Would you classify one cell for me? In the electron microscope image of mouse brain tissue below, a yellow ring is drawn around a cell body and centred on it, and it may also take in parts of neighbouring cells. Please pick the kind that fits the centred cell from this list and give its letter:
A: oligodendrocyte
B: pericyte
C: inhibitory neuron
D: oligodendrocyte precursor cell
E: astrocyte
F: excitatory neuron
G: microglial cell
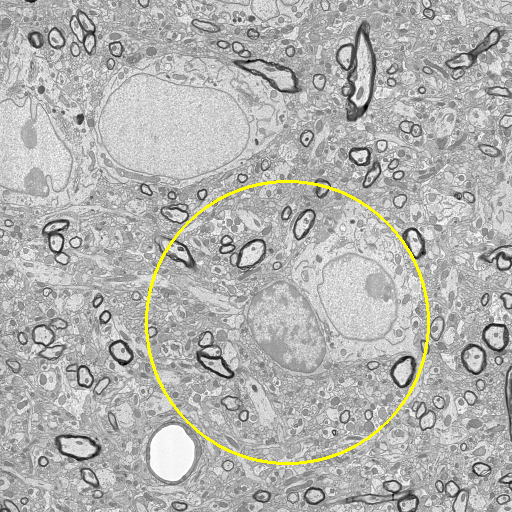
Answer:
A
